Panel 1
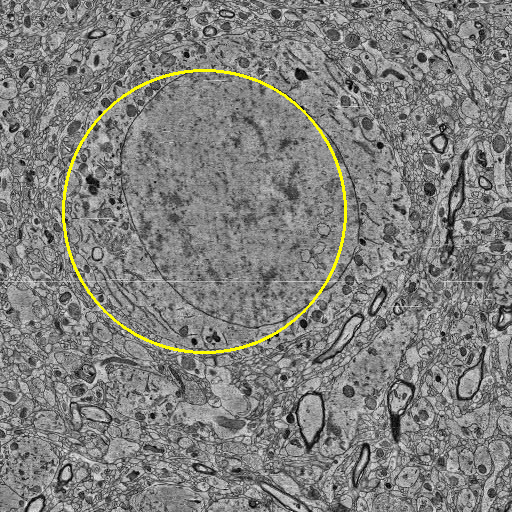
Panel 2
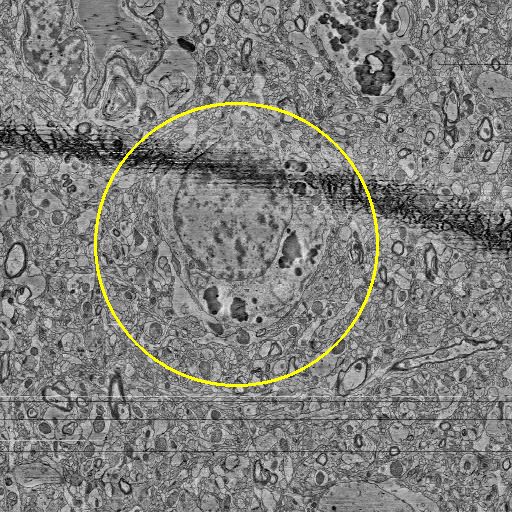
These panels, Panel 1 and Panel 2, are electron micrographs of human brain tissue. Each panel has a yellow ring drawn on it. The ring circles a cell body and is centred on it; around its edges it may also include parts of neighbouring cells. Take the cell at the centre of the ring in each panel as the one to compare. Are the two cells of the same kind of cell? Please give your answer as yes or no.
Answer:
no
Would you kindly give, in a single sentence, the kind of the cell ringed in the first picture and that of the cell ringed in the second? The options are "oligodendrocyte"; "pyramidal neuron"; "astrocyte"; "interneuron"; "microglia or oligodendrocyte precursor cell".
The second cell is an interneuron, and the first cell is a pyramidal neuron.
